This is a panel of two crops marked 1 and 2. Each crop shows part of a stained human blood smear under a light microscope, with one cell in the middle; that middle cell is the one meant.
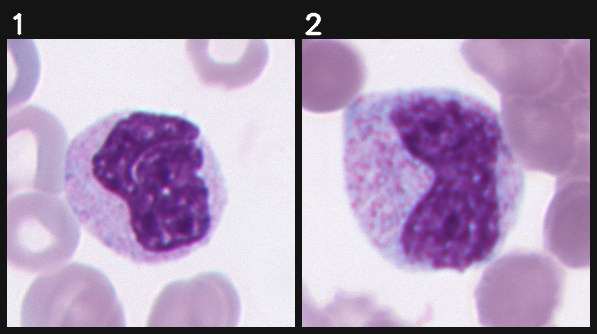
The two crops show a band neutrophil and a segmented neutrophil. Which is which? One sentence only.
Crop 1 is identified as a segmented neutrophil, and crop 2 is identified as a band neutrophil.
